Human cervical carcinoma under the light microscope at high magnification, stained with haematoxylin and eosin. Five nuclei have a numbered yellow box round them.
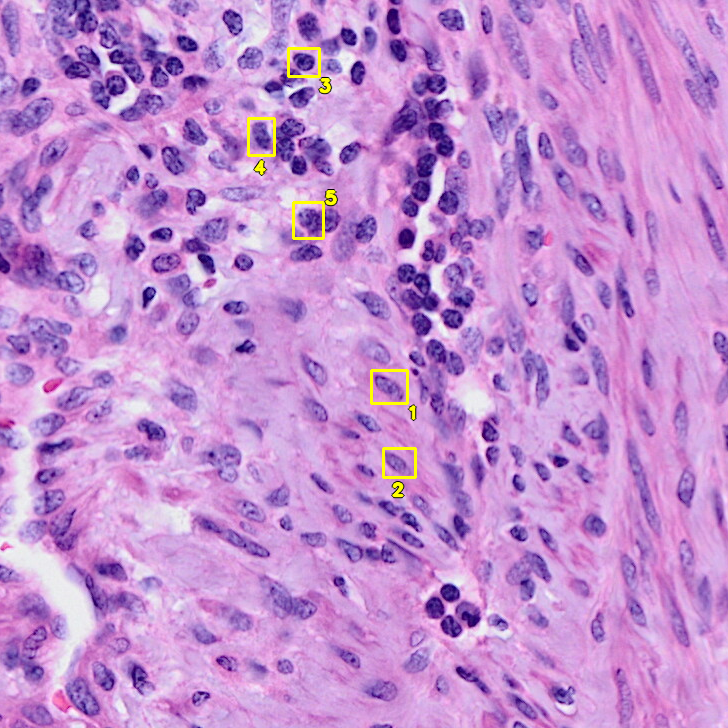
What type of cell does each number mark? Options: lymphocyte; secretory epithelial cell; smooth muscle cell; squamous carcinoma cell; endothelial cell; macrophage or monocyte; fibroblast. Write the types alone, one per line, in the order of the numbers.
smooth muscle cell
smooth muscle cell
lymphocyte
lymphocyte
lymphocyte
